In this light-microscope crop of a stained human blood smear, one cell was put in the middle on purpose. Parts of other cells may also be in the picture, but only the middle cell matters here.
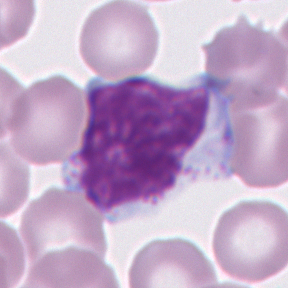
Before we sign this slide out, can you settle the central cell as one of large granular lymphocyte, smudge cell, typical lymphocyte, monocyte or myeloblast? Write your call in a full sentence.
Framed in the middle of the crop is a large granular lymphocyte.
